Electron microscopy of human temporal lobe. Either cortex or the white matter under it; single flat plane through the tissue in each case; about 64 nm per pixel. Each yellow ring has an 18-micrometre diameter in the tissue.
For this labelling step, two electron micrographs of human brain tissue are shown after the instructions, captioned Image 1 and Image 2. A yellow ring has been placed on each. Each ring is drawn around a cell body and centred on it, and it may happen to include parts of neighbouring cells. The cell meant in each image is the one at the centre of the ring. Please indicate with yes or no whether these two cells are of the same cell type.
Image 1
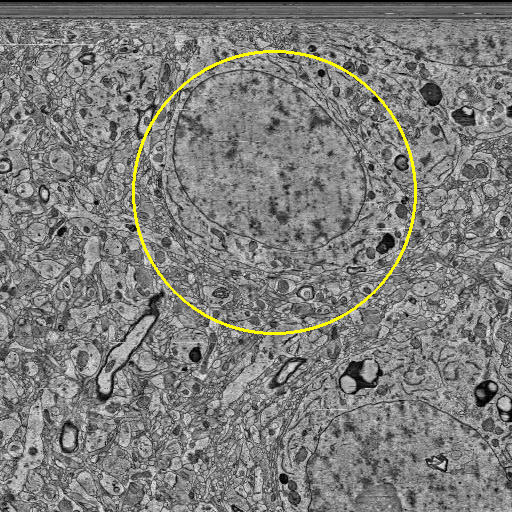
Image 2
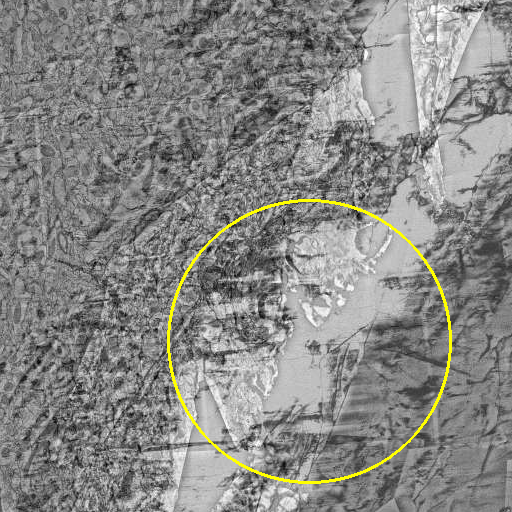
no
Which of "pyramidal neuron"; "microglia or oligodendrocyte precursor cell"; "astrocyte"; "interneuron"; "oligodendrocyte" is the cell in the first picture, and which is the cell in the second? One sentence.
The two differ: the first cell is a pyramidal neuron and the second is an astrocyte.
